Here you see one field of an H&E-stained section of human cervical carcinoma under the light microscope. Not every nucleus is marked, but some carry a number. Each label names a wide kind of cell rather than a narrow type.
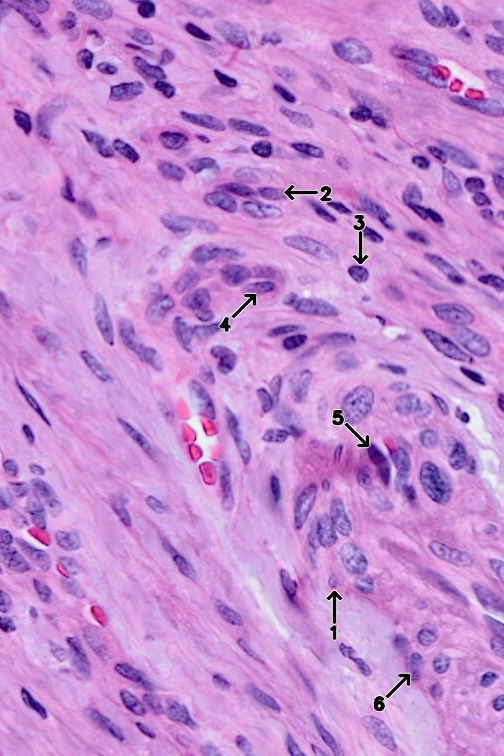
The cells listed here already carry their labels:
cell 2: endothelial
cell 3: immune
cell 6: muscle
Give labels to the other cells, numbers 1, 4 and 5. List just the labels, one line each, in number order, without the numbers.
muscle
endothelial
endothelial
